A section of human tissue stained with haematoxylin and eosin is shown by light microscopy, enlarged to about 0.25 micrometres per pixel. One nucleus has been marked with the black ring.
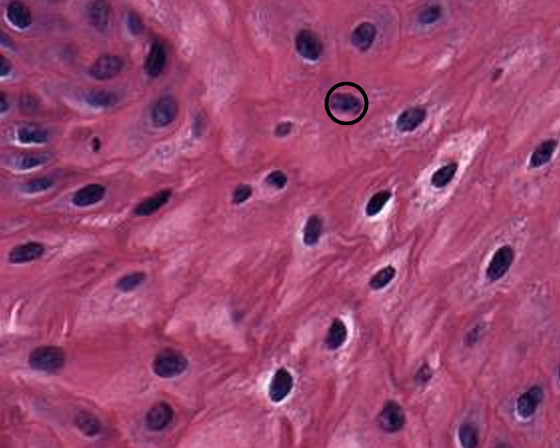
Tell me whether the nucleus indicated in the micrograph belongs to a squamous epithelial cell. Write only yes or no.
yes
